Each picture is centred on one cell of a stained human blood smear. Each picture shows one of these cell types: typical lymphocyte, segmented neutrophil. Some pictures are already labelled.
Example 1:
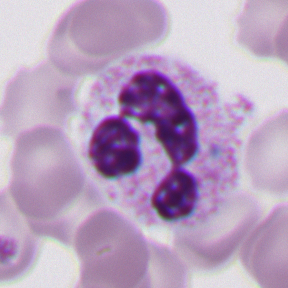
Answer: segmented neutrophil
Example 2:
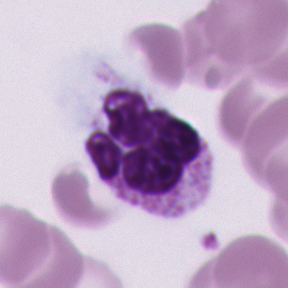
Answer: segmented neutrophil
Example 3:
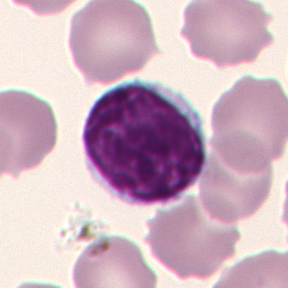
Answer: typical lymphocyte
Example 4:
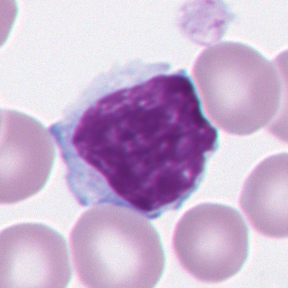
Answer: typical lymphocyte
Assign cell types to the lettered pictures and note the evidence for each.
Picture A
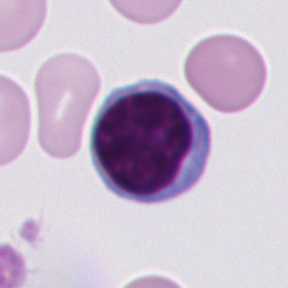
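Label: typical lymphocyte. The nucleus fills most of the cell.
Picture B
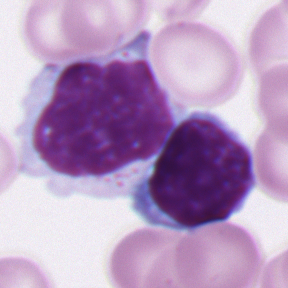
Label: typical lymphocyte. The nucleus fills most of the cell.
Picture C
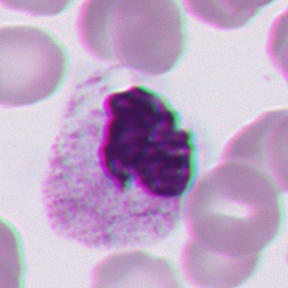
Label: segmented neutrophil. The cytoplasm is plentiful and pale pink rather than blue.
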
